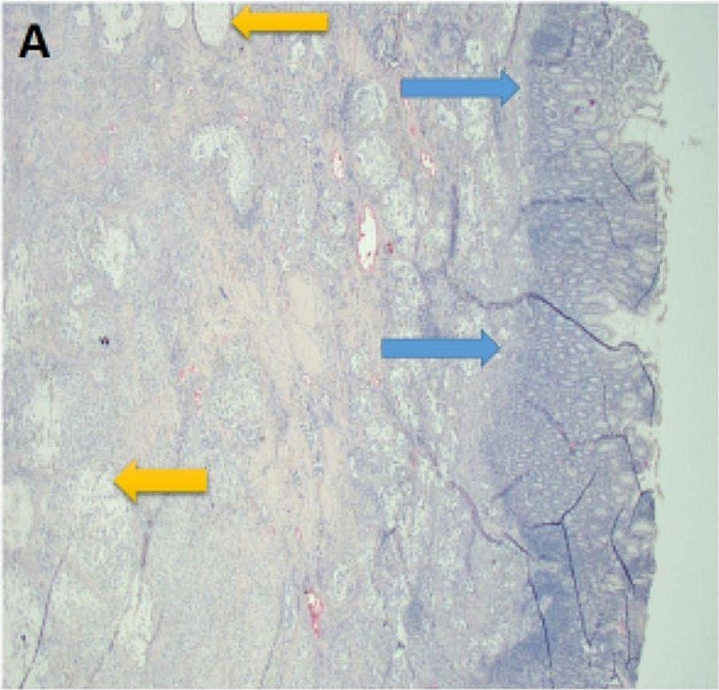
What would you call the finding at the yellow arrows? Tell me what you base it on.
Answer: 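Deeper tissue holds many irregular pale, bubbly pools of various sizes. The pale pools are scattered through pink stroma away from the surface layer. That points to this answer: invasive glandular tumor with mucin production.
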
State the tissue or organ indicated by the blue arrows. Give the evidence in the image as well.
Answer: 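A band of closely packed, regular tubular glands lines the right edge of the section. The glands lie perpendicular to the surface in a darker, cell-rich layer.
Normal colonic mucosa.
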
